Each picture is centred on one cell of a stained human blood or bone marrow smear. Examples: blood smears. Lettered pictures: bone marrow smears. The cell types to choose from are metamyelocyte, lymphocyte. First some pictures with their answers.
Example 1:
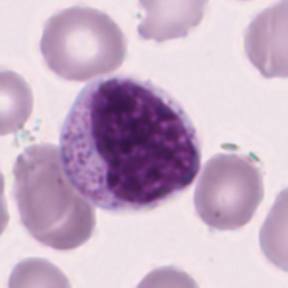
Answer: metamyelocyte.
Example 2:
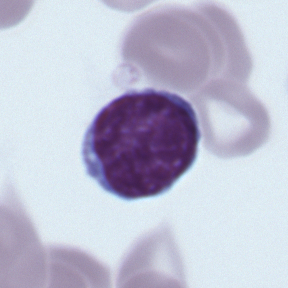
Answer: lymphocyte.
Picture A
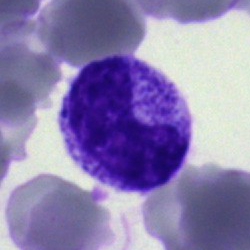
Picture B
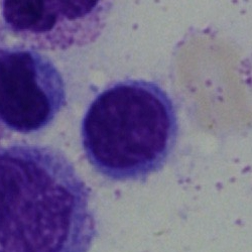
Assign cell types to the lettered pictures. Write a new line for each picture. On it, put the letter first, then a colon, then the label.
A: metamyelocyte.
B: lymphocyte.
